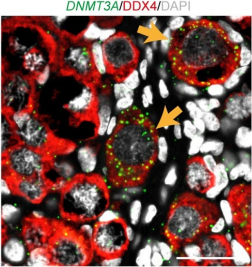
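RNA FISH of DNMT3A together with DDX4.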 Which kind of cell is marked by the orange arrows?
Dictyate/diplotene oocytes.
